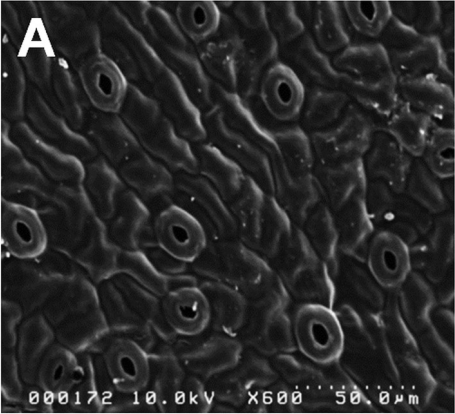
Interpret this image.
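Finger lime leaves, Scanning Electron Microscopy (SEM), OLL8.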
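Leaf epidermis seen from the surface, with stomata scattered among pavement cells. The stomata appear as oval structures, each with a raised rim formed by the guard cells around a dark central pore. They are spaced apart without a regular pattern, with several pavement cells between neighbouring stomata. A few small bright particles lie on the surface.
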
